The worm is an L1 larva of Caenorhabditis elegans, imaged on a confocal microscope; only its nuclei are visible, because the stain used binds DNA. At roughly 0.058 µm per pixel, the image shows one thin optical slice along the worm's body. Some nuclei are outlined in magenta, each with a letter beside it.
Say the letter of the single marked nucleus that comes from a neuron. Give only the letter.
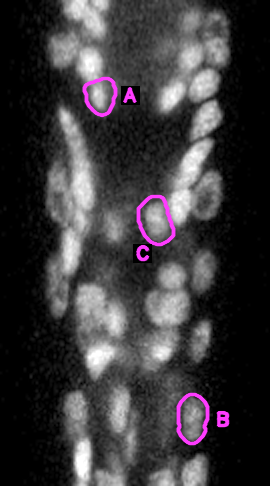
C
